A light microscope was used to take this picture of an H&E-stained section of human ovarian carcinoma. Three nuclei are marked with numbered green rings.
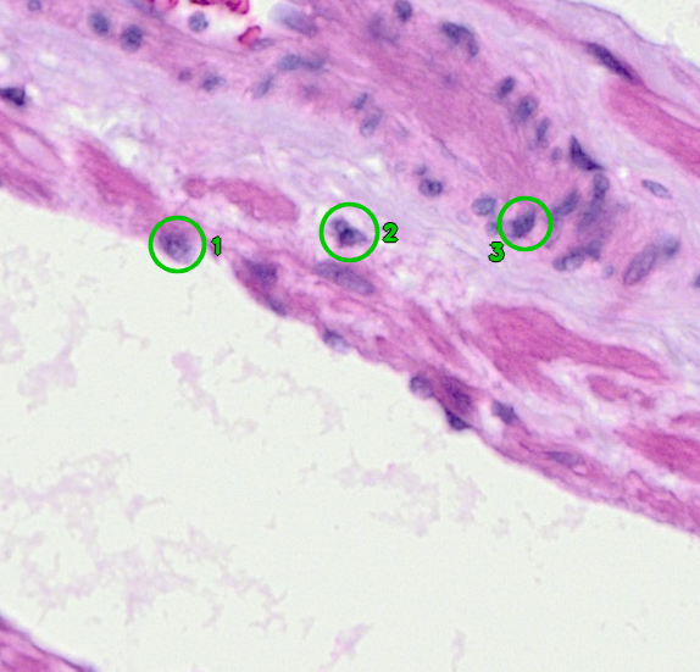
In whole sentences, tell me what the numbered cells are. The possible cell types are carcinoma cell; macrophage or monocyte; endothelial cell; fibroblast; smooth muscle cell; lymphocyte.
Cell 1 is an endothelial cell. Cell 2 is a macrophage or monocyte. Cell 3 is a smooth muscle cell.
